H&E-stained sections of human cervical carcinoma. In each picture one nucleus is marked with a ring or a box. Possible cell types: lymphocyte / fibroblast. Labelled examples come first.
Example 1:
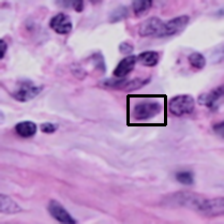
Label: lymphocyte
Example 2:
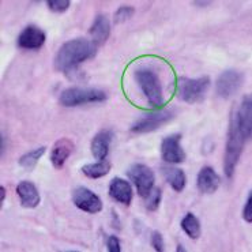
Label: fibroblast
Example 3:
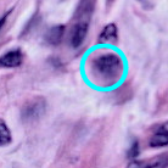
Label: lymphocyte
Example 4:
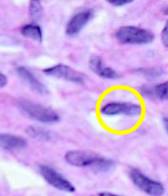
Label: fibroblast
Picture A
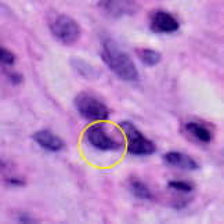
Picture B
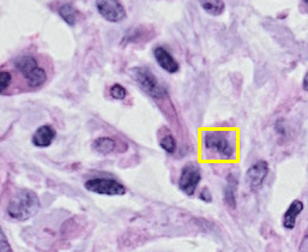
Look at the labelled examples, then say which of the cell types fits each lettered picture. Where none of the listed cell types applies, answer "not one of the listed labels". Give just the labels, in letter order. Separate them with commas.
lymphocyte, not one of the listed labels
